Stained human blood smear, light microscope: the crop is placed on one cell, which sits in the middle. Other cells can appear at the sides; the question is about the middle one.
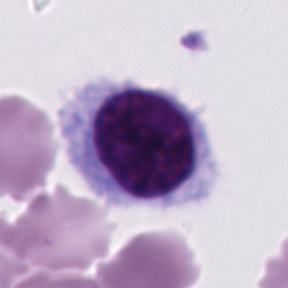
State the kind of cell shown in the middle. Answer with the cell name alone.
hairy cell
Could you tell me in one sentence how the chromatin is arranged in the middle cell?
Heads up, the chromatin in this one is coarsely clumped.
